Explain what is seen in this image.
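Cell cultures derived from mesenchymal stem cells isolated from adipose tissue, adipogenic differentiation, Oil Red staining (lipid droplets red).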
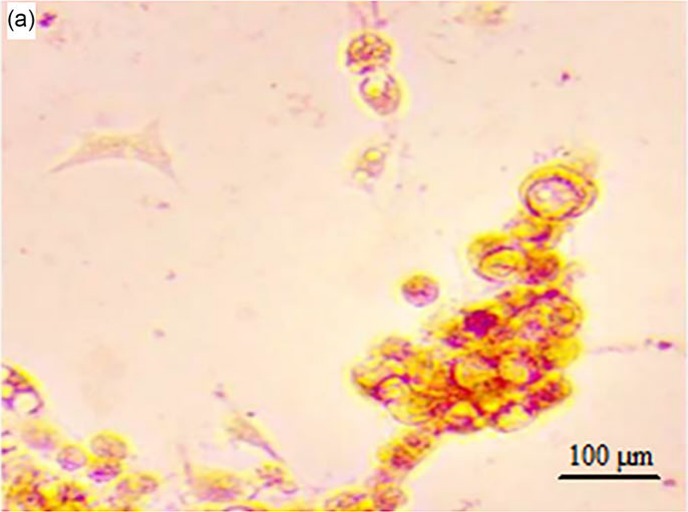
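A few such rounded cells also sit on their own. In the open background lie a few flat, spindle- or triangle-shaped cells that have barely taken up any stain. They have not filled with fat.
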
